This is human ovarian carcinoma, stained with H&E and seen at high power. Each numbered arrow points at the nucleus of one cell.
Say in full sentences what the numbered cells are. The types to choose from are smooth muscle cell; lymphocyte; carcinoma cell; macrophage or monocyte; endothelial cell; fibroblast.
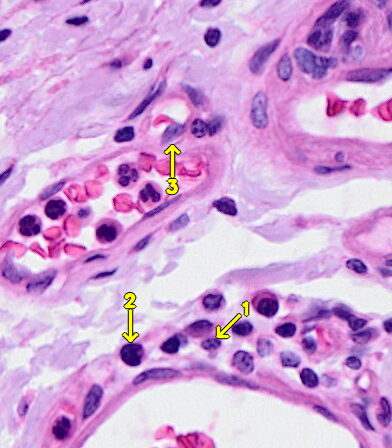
Cells 1 and 2 are lymphocytes. Cell 3 is an endothelial cell.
